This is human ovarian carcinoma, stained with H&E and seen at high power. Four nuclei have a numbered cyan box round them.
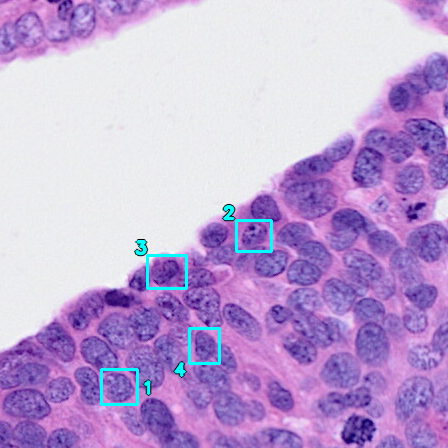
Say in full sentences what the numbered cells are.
Cell 1 is a carcinoma cell, cell 2 is a macrophage or monocyte, cell 3 is a carcinoma cell and cell 4 is a carcinoma cell.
